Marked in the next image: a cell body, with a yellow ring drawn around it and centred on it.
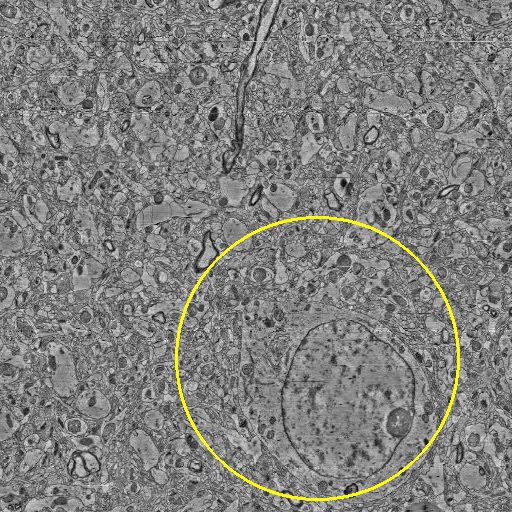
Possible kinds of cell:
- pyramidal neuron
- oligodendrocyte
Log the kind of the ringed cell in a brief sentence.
The ringed cell body is that of a pyramidal neuron.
